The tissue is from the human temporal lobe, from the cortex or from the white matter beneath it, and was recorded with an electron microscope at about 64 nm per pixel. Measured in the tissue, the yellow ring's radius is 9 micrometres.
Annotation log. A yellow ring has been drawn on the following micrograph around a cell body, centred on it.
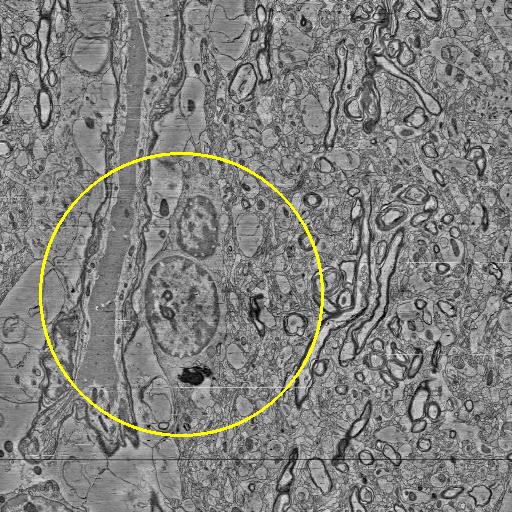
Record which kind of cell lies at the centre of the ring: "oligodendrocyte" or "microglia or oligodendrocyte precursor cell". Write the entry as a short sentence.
The cell the ring is centred on is an oligodendrocyte.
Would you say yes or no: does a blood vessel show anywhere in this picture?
Yes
